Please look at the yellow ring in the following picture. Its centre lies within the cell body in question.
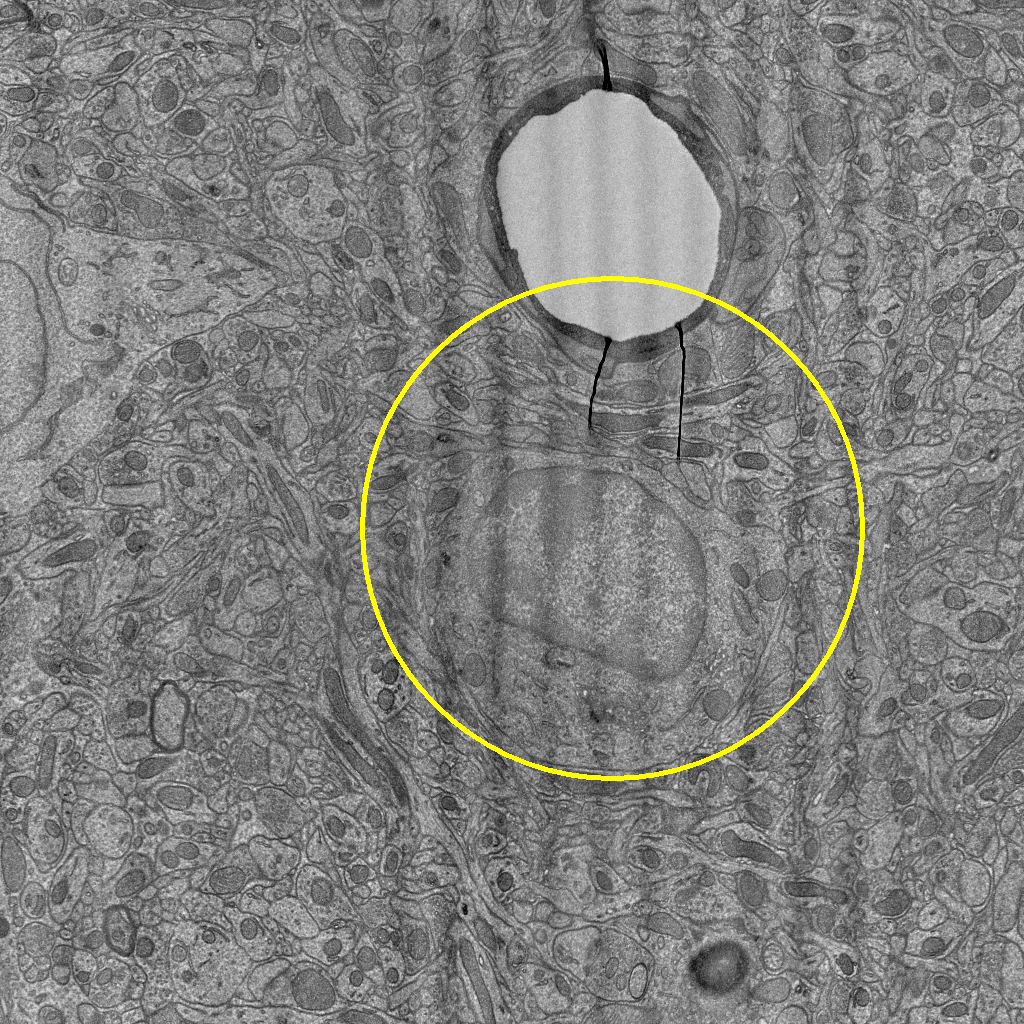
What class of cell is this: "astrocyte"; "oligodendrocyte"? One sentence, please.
The centre of the ring lies in the cell body of an oligodendrocyte.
